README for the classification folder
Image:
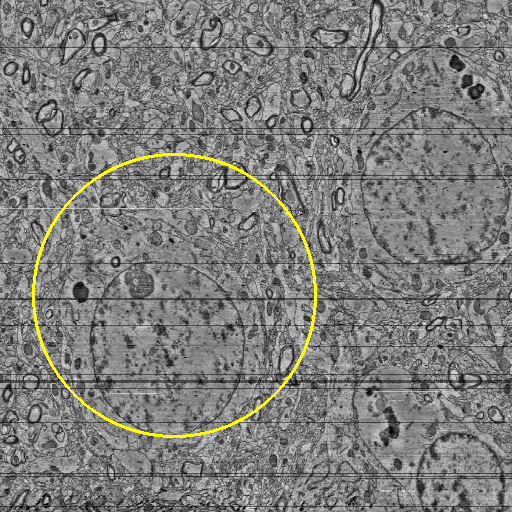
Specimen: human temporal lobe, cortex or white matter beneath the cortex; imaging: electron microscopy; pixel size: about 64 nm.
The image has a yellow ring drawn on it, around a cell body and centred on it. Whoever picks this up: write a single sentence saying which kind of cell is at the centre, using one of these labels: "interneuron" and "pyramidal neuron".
This cell body is that of a pyramidal neuron.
